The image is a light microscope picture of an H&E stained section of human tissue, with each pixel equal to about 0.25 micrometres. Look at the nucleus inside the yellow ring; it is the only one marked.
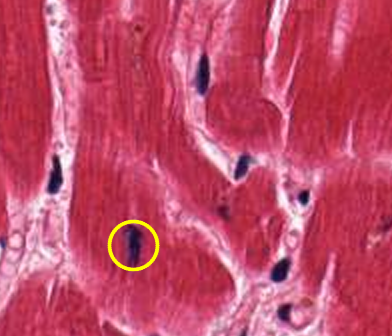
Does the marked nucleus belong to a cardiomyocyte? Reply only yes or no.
yes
